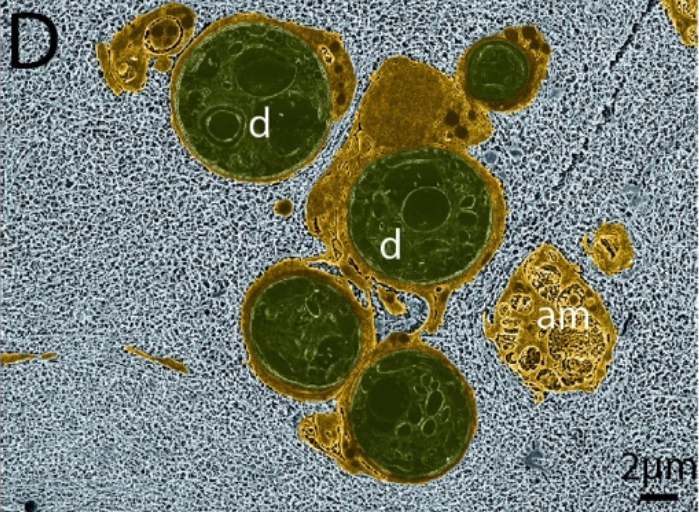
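The dinoflagellates appear as round green cells with a distinct outer wall and an interior full of vesicles and rounded compartments. Several of them lie close together, embraced by thin yellow cytoplasmic extensions of the host amoebocyte. A separate yellow amoebocyte with irregular, textured cytoplasm lies to the right. All of these cells are surrounded by the fine fibrous meshwork of the light blue mesoglea.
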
